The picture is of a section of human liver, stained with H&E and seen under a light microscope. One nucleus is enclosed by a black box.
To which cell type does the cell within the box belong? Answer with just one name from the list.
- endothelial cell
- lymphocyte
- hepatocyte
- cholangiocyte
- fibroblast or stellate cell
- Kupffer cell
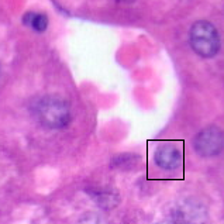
cholangiocyte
